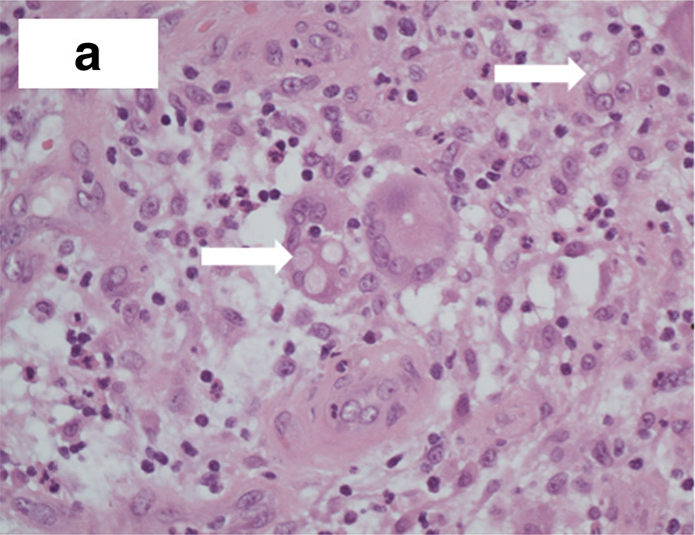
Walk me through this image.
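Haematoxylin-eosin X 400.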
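A dense inflammatory infiltrate fills the field, made of plump cells with oval, pale, vesicular nuclei and pink cytoplasm, mixed with many small cells with round, dark nuclei. Several large cells with abundant pink cytoplasm and many nuclei stand out, one in the centre with nuclei crowded at its edge. Within some of these large cells lie small, rounded, clear vacuole-like bodies. Together this is granulomatous inflammation with multinucleated giant cells holding rounded intracytoplasmic formations.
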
